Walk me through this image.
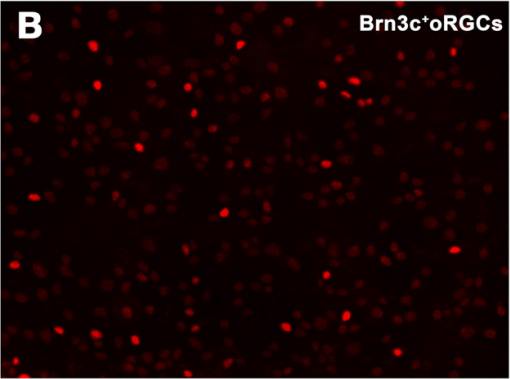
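Flat-mounted retina, ganglion cell layer, seen en face. Many round to oval nuclei are spread across the field with red fluorescence of two clearly different intensities. Most nuclei are faintly red and barely stand out from the dark background. A smaller, scattered set of nuclei is bright red. The bright nuclei are distributed irregularly among the faint ones, without clustering. Nuclei are of fairly uniform size, mostly separate, in a single focal plane. No cytoplasm or processes are labelled.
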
